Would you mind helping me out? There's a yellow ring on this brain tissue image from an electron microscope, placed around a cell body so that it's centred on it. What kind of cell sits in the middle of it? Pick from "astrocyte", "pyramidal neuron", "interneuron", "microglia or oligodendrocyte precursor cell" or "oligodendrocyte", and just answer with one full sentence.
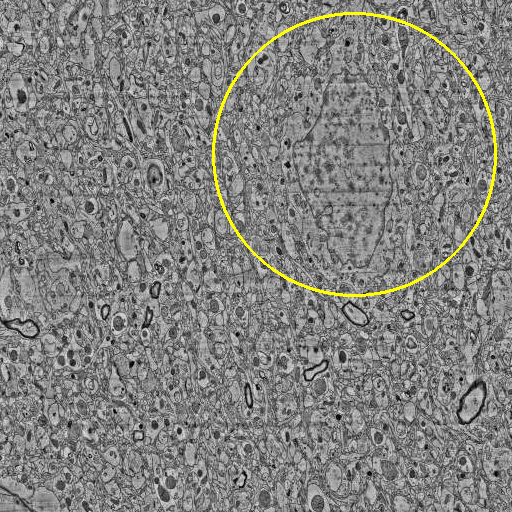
What sits in the middle of that yellow ring is an interneuron, from your choices.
